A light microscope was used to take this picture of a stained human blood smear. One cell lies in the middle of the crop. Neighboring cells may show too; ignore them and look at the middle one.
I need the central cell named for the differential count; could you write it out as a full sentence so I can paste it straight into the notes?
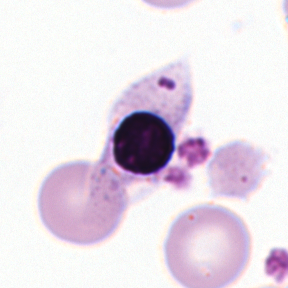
The cell nearest the centre of this crop is a normoblast.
